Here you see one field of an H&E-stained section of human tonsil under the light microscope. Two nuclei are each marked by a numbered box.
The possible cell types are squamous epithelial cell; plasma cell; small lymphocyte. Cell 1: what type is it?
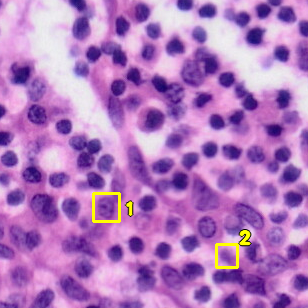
plasma cell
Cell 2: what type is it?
squamous epithelial cell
